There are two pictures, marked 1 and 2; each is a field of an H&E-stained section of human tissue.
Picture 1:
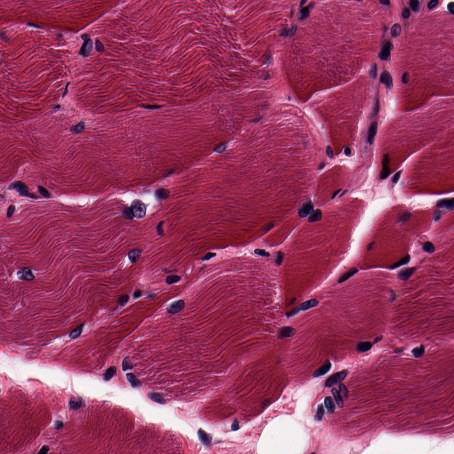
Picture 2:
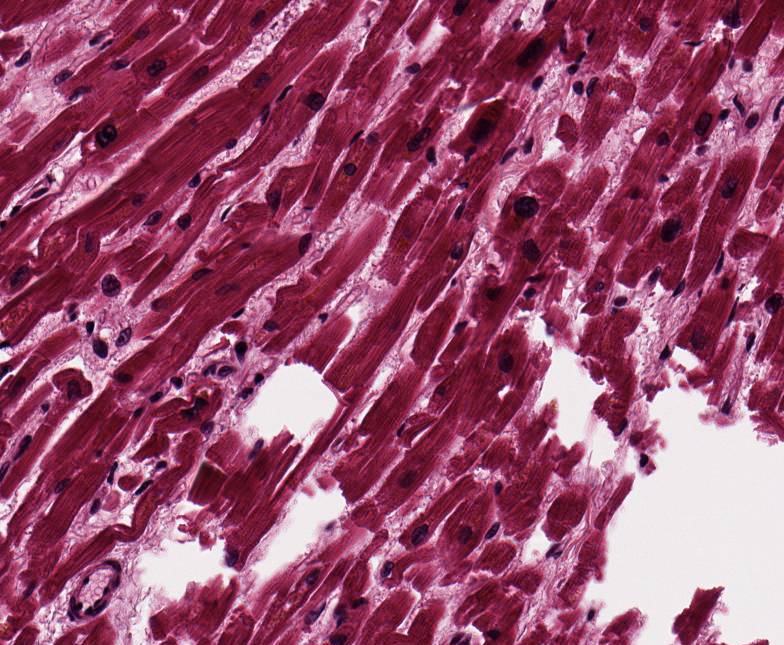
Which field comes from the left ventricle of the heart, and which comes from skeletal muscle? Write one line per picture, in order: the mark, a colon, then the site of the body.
1: skeletal muscle
2: left ventricle of the heart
